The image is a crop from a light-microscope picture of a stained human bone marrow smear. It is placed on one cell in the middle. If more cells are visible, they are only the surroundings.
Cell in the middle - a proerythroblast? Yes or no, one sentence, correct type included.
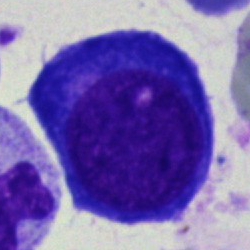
Yes, the cell at the very centre of the crop is a proerythroblast.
